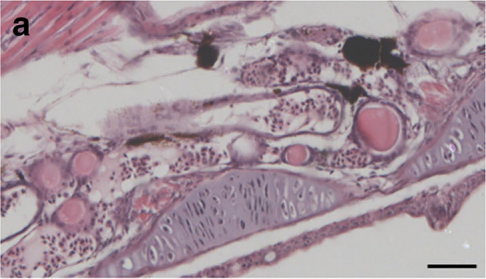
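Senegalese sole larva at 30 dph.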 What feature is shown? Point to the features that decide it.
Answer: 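Several round spaces filled with homogeneous pink material. Each round space is rimmed by a thin layer of epithelial cells. The follicles lie scattered in loose tissue beside cartilage. So: thyroid follicles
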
